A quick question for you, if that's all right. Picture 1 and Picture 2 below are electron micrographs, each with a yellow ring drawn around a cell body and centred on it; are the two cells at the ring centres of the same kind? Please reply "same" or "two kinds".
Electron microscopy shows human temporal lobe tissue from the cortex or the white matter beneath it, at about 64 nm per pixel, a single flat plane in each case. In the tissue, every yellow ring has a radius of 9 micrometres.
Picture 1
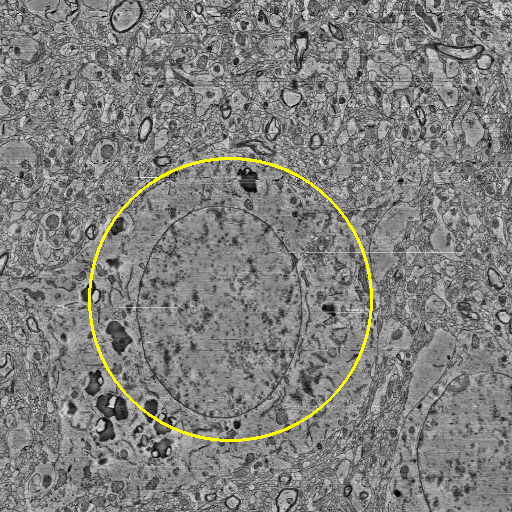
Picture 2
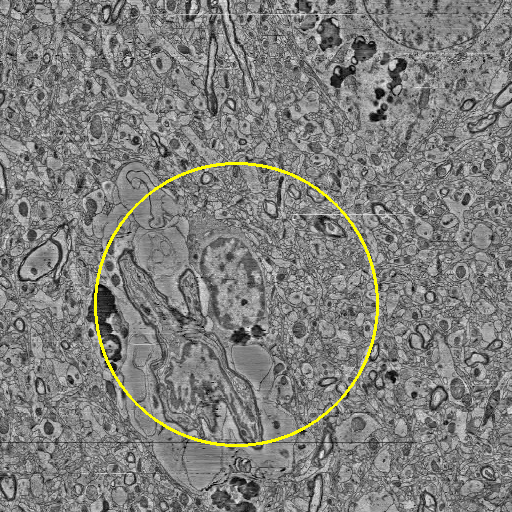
two kinds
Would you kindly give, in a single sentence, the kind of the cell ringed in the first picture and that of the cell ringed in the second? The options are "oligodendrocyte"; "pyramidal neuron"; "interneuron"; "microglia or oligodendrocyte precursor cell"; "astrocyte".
The second cell is an oligodendrocyte, and the first cell is a pyramidal neuron.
